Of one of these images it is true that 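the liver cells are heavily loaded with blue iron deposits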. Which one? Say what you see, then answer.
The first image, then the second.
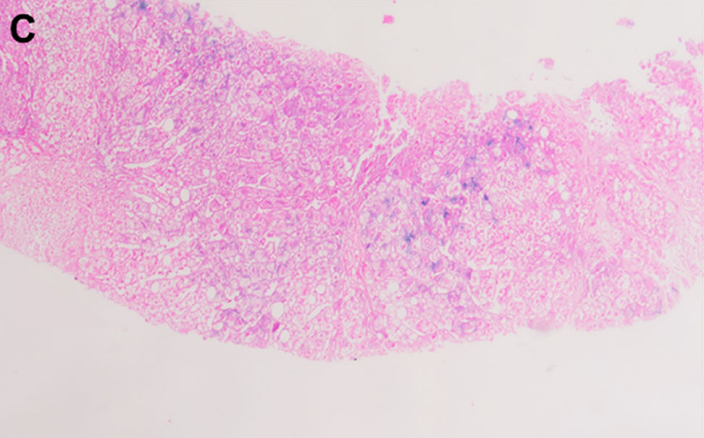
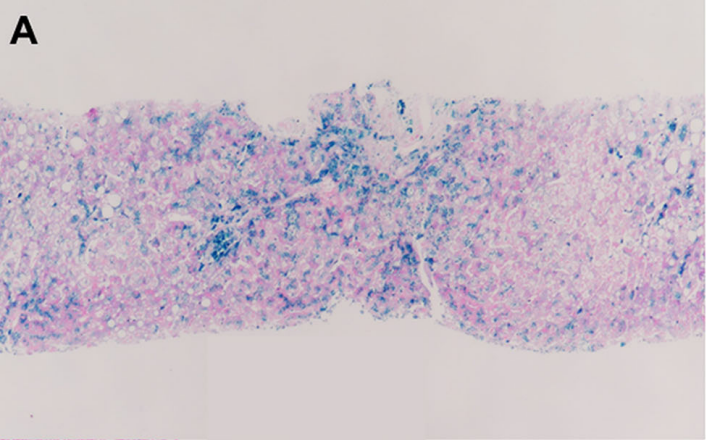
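First image: the tissue is mostly pink with only a few scattered faint blue spots. Second image: blue deposits are spread densely across much of the biopsy core.
Hence: the second image.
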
